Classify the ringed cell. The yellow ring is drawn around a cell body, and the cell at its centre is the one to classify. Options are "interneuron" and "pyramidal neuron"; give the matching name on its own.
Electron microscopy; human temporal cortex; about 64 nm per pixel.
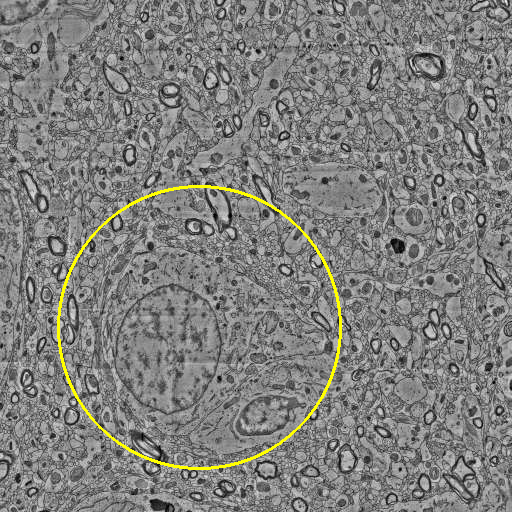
pyramidal neuron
